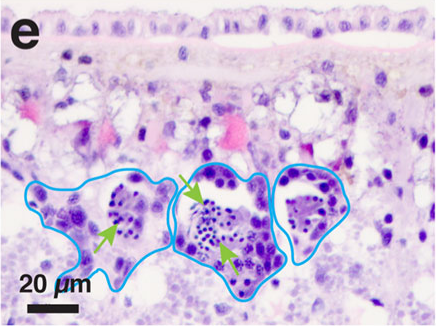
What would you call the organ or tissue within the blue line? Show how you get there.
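The outlined areas are compact lobes of densely packed purple-staining cells. Their centres hold clusters of tiny dark nuclei. On this evidence: testes.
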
